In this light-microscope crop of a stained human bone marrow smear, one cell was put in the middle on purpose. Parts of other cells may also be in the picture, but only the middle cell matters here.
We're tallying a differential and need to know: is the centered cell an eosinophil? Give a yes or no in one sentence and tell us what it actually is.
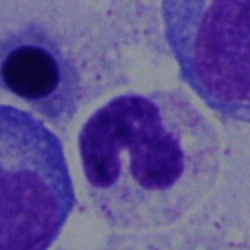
No, the cell in the middle of the crop counts as a band neutrophil and not as an eosinophil.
